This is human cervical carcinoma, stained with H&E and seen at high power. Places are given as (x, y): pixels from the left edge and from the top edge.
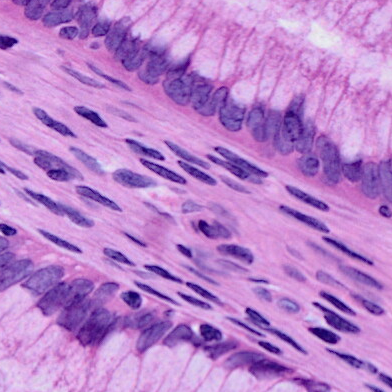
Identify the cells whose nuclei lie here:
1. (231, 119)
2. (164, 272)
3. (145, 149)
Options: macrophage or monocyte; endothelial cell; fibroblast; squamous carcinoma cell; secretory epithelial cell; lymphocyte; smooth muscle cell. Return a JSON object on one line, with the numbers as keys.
{"1": "secretory epithelial cell", "2": "fibroblast", "3": "fibroblast"}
